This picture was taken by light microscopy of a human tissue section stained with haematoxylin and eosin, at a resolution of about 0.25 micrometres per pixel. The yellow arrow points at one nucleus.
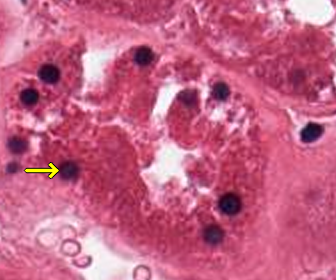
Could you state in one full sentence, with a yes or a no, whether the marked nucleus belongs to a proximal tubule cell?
Yes, a proximal tubule cell holds the marked nucleus.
